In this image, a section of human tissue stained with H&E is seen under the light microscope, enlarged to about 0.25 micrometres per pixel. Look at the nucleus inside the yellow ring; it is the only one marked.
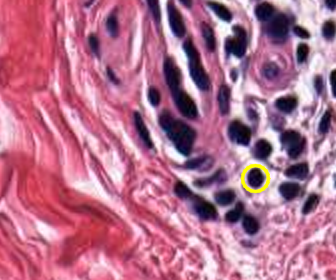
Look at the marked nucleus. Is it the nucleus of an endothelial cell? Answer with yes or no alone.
no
